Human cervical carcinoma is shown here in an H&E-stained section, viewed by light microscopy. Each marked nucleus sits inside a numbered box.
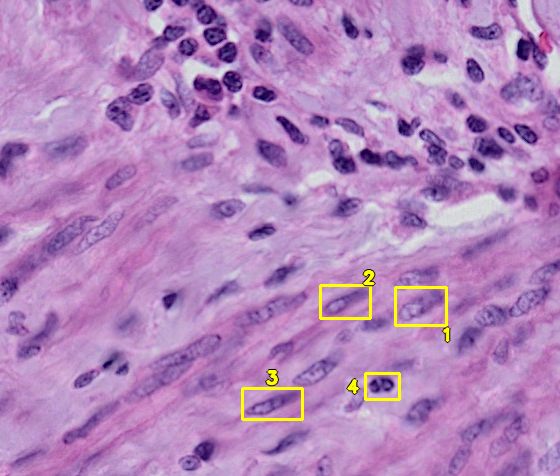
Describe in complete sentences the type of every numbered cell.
Cell 1 is a smooth muscle cell, cell 2 is a smooth muscle cell, cell 3 is a smooth muscle cell and cell 4 is a lymphocyte.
